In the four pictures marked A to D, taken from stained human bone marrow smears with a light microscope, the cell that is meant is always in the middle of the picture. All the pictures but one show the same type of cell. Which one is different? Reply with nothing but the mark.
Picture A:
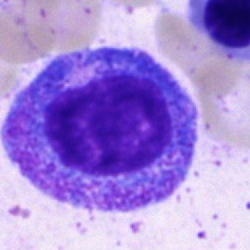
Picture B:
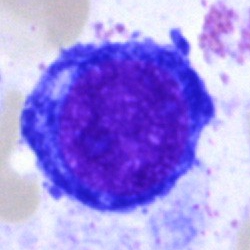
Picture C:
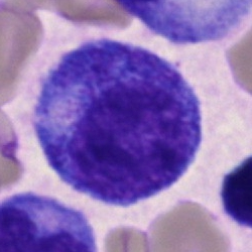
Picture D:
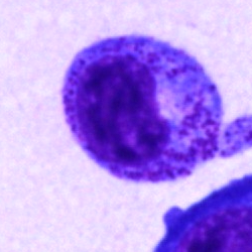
B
